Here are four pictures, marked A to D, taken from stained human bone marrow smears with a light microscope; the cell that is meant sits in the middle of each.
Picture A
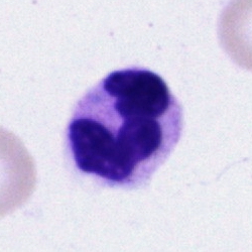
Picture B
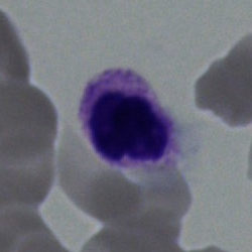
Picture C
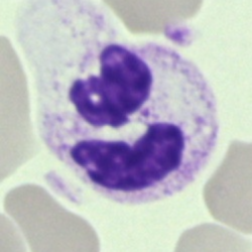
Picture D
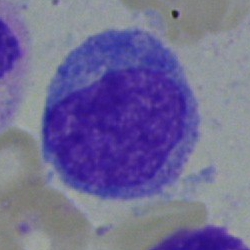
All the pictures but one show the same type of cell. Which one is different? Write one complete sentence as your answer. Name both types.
All pictures except D show segmented neutrophils; picture D shows a monocyte.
